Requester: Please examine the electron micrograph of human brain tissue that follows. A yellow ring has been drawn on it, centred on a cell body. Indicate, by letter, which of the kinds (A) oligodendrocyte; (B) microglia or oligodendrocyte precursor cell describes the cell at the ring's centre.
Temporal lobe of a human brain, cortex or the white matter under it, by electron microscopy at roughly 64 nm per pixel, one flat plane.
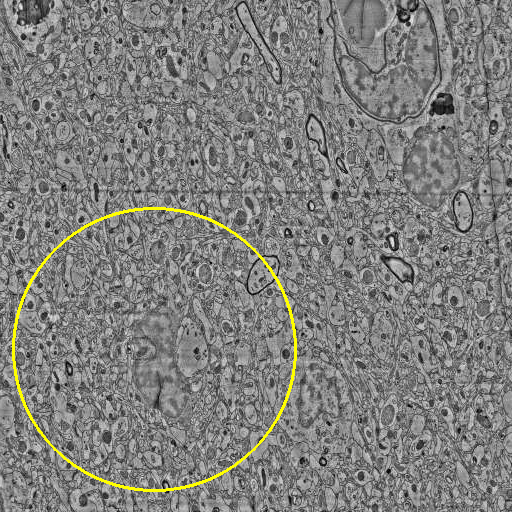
A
